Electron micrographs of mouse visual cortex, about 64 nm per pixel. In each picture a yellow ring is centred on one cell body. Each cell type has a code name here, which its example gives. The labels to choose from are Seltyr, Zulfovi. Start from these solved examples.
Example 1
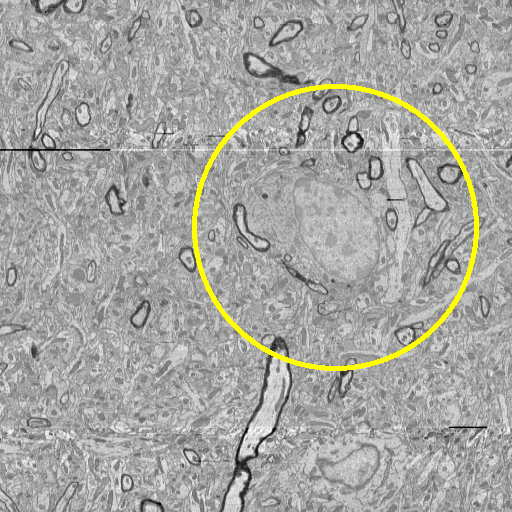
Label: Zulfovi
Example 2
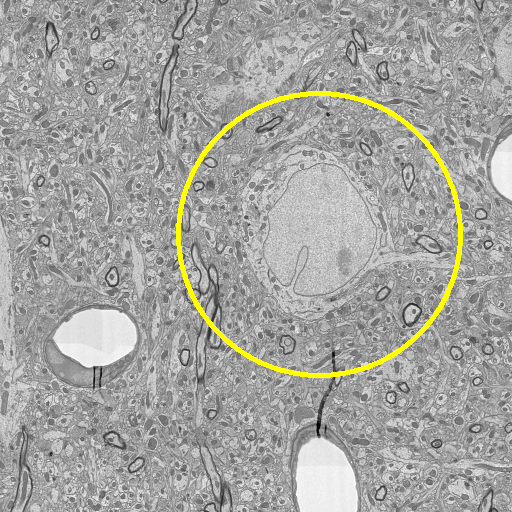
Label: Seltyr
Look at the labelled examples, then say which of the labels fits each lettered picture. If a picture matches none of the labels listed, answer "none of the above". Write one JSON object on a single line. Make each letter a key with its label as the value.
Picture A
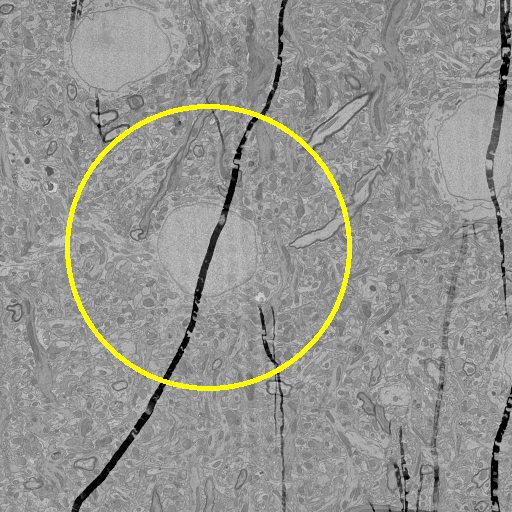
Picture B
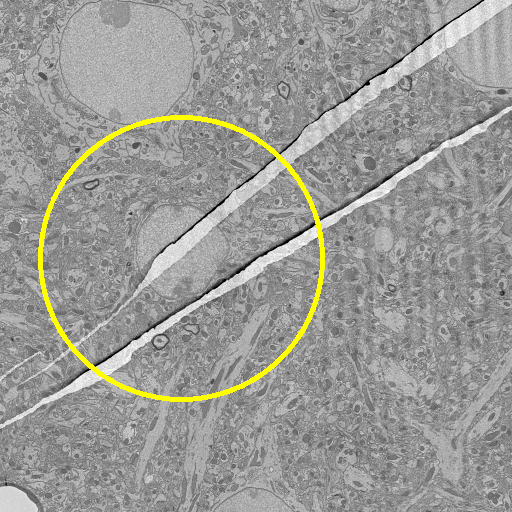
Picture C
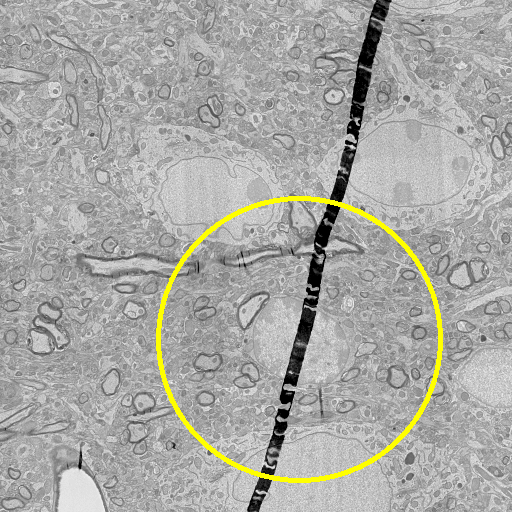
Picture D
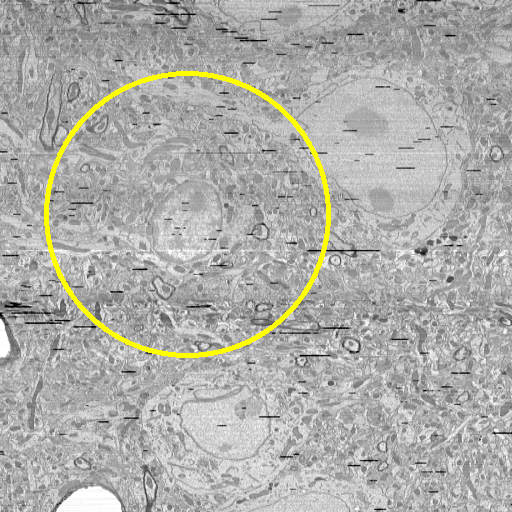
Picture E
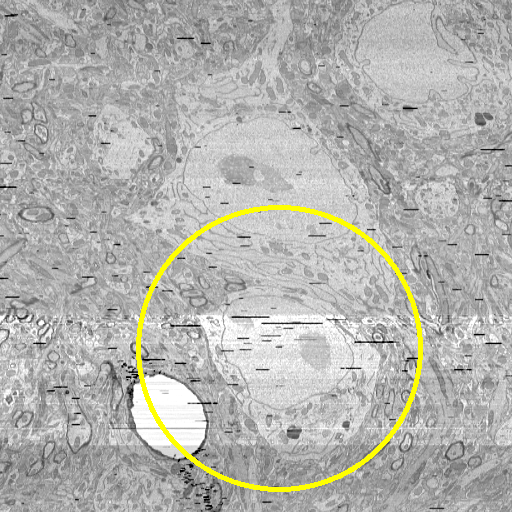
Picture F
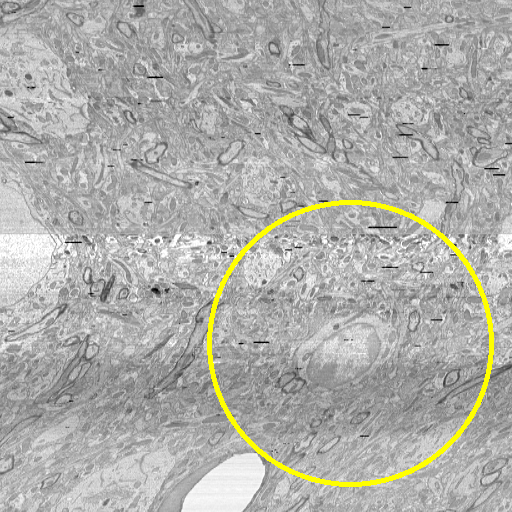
{"A": "none of the above", "B": "none of the above", "C": "Zulfovi", "D": "Zulfovi", "E": "Seltyr", "F": "Zulfovi"}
